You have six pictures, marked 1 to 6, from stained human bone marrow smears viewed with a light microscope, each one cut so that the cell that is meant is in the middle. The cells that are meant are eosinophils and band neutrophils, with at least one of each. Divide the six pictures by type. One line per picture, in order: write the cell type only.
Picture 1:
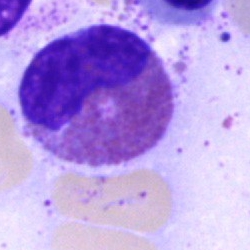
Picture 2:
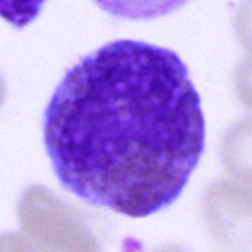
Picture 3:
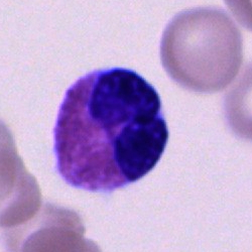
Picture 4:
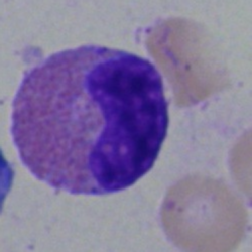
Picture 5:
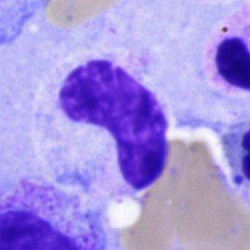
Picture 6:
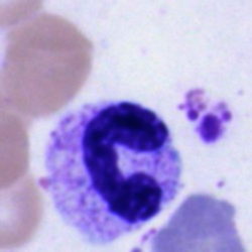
eosinophil
eosinophil
eosinophil
eosinophil
band neutrophil
band neutrophil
